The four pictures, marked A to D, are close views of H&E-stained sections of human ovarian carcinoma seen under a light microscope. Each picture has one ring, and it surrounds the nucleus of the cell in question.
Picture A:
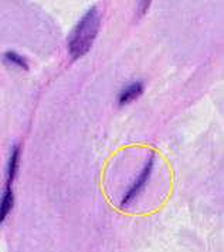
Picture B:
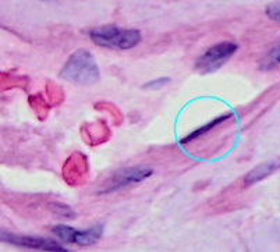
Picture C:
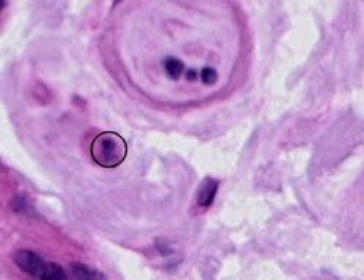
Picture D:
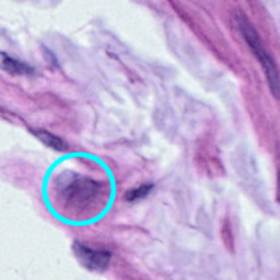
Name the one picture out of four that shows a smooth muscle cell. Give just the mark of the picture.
C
